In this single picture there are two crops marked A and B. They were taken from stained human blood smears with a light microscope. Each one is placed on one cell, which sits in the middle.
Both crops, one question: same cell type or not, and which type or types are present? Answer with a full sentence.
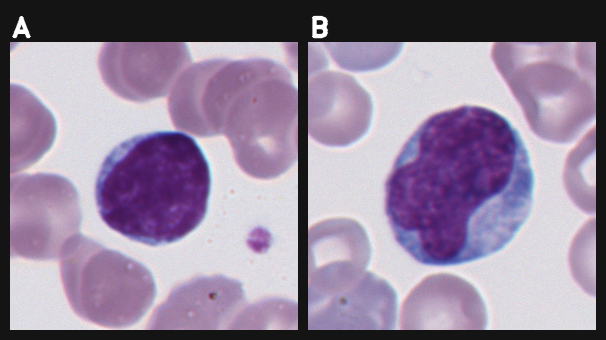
No, crop A is to be identified as a typical lymphocyte and crop B as a myeloblast.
